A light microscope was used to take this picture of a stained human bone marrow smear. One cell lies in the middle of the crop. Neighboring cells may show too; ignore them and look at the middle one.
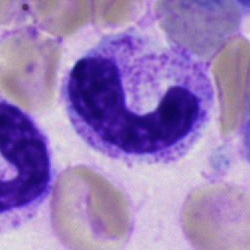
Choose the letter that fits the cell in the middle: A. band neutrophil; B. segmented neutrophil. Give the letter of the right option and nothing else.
A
